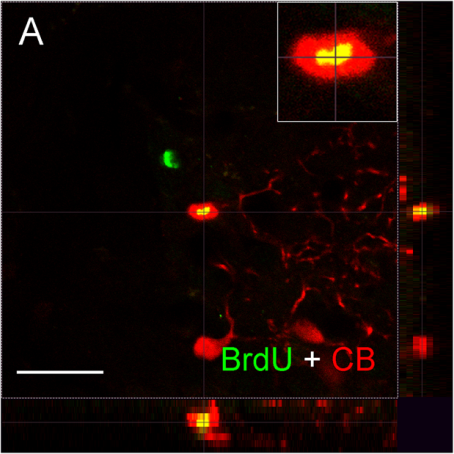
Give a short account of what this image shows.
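This confocal plane, with side views along its lower and right edges, shows a small round cell body stained red whose centre glows yellow where green and red overlap, and the inset enlarges it. Around it lie other red cell bodies with thin, branching red processes, while at the upper left a lone green nucleus carries no red.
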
